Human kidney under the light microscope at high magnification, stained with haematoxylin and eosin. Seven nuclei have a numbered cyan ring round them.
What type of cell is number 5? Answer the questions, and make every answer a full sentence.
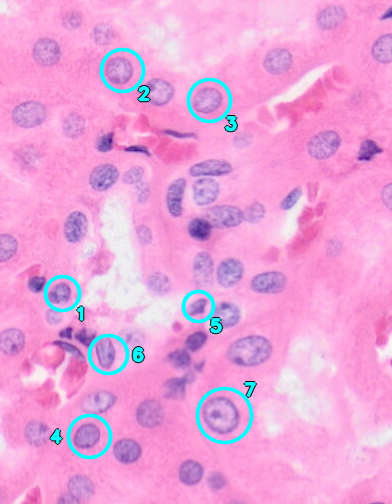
Within this field of view, the cell labelled 5 is a collecting duct cell.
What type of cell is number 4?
Number 4 is placed on a proximal tubule cell here.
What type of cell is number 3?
The marked cell bearing number 3 is a proximal tubule cell.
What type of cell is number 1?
The cell with the number 1 is a collecting duct cell.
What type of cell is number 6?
The cell that goes by number 6 is a collecting duct cell.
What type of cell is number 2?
Cell 2 in the field is a proximal tubule cell.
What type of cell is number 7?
The cell indicated with the number 7 is classed as a proximal tubule cell.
